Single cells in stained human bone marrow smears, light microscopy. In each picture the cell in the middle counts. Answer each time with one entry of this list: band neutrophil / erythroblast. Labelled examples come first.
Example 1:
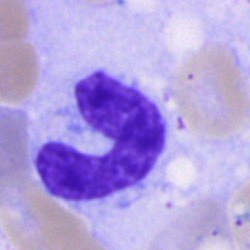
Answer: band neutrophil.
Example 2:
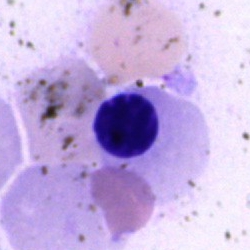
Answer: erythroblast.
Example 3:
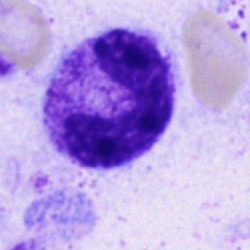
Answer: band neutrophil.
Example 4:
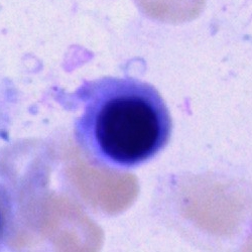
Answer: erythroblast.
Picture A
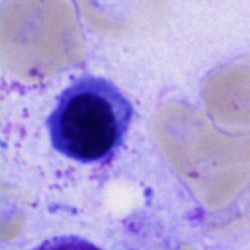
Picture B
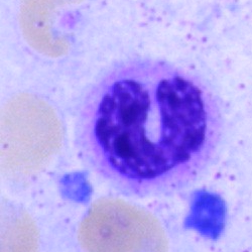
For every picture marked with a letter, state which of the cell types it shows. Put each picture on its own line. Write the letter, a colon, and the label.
A: erythroblast.
B: band neutrophil.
